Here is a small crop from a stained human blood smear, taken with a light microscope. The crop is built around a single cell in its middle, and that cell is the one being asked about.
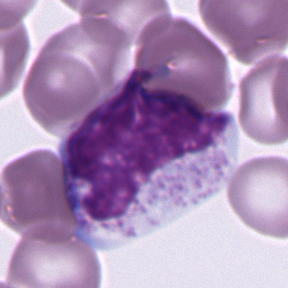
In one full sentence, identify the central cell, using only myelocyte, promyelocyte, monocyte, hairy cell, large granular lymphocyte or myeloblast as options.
The cell that lies at the centre of the crop is a myelocyte.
